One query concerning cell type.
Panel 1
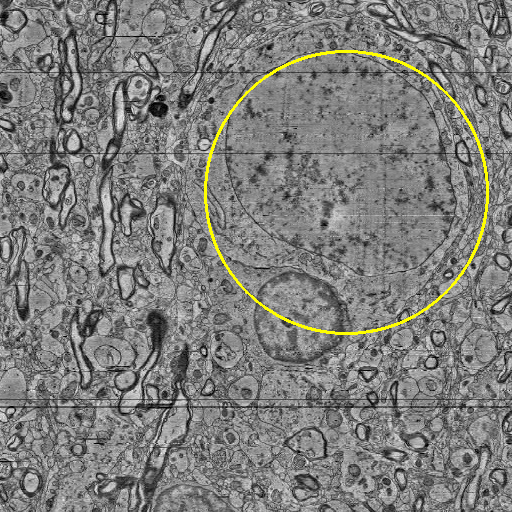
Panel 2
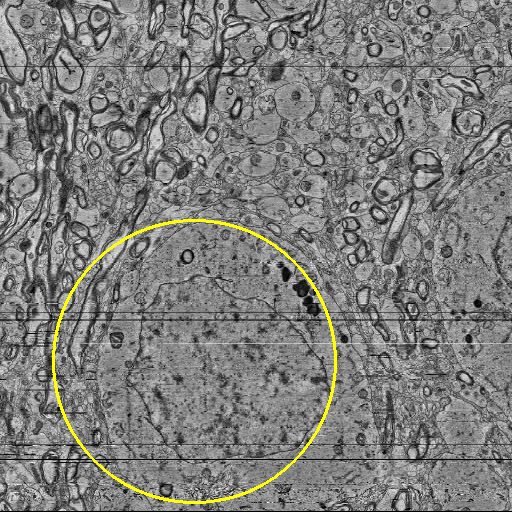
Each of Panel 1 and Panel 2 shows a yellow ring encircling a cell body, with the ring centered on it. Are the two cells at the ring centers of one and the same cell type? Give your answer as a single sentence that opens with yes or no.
Yes, the cell centered in Panel 1 and the one in Panel 2 share a type.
